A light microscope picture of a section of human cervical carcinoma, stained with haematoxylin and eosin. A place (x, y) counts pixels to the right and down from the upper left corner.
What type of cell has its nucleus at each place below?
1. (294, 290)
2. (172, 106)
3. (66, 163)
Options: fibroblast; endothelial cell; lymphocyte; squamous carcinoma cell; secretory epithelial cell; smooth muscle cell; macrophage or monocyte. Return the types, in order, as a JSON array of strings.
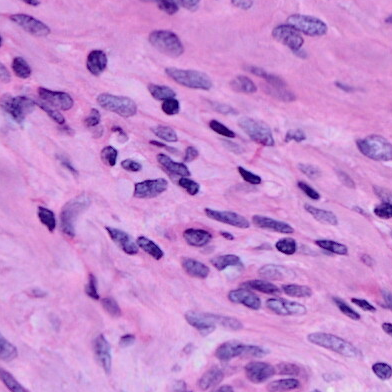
["endothelial cell", "lymphocyte", "fibroblast"]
